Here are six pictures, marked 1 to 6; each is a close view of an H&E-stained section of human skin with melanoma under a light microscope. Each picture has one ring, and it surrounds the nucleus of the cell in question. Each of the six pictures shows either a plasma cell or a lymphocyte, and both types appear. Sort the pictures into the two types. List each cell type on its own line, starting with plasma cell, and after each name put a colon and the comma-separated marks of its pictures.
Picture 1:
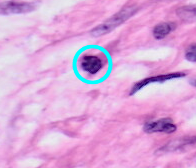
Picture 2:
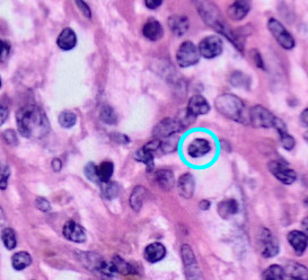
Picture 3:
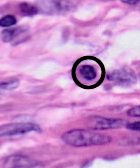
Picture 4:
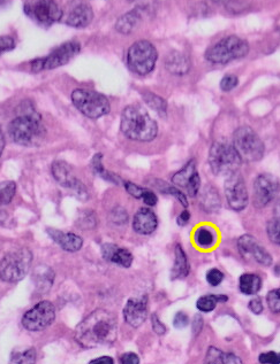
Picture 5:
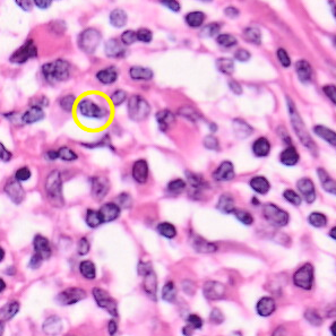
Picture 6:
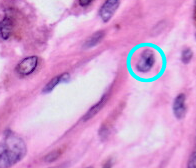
plasma cell: 1, 3
lymphocyte: 2, 4, 5, 6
